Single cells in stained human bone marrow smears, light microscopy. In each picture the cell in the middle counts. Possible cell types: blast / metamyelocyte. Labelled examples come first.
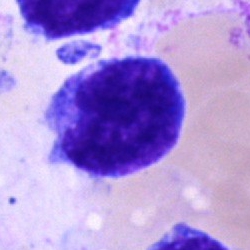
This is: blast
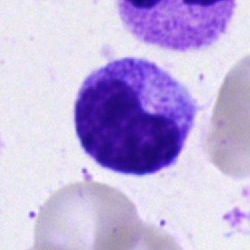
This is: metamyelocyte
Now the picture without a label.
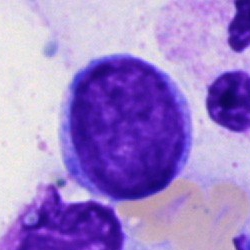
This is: blast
